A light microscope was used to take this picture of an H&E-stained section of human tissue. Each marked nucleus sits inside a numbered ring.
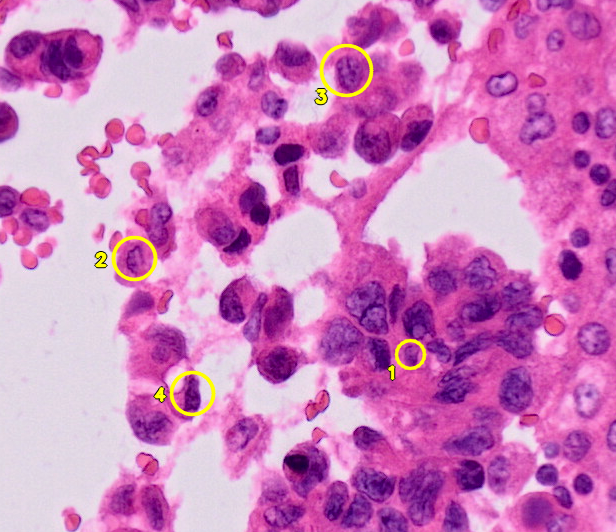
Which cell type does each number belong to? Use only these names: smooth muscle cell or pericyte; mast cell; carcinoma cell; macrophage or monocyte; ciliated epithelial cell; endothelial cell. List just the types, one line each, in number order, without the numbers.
carcinoma cell
macrophage or monocyte
carcinoma cell
carcinoma cell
